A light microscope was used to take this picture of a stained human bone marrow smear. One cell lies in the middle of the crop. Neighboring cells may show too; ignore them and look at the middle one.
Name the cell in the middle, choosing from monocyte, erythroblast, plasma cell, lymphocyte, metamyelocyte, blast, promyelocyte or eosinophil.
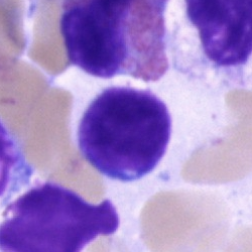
lymphocyte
